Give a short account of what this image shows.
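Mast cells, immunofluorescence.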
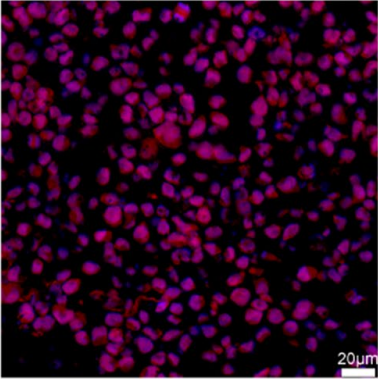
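This field shows a dense population of rounded cells, crowded closely together with little space between them. Red fluorescence fills the cell bodies and overlaps the nuclei, so most cells appear pink to magenta. The cells vary somewhat in size, and a few larger rounded cells stand out among smaller ones.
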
